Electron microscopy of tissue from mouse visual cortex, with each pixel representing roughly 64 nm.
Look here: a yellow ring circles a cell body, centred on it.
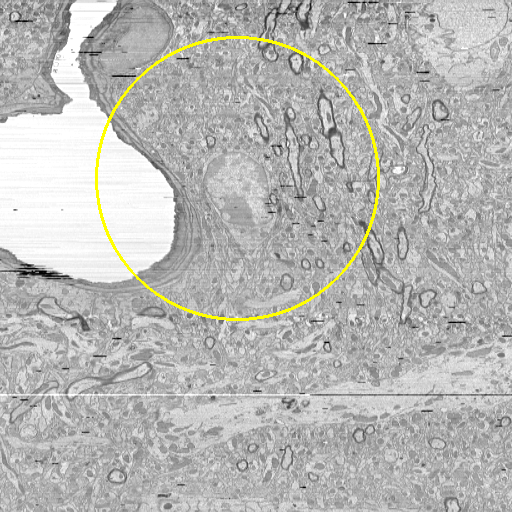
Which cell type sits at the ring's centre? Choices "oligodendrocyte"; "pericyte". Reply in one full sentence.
The cell at the centre of the yellow ring in the picture is an oligodendrocyte.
